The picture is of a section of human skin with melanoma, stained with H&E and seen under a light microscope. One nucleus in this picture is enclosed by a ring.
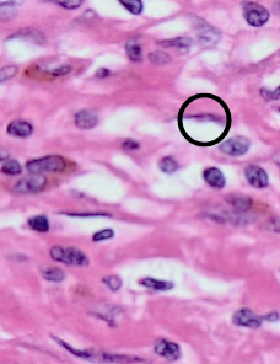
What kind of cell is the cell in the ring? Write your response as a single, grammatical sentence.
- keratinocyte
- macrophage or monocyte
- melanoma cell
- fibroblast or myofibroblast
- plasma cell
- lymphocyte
Typologically, the cell in the ring is a fibroblast or myofibroblast in this section.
